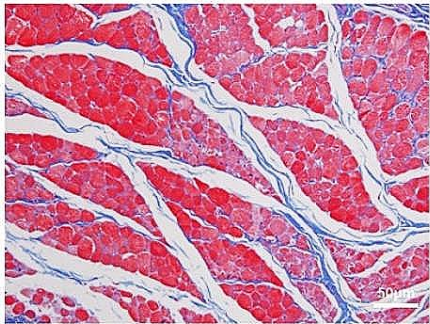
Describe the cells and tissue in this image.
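Transverse section of skeletal muscle showing red-staining muscle fibres cut in cross-section, mostly small and varying in size and staining intensity. The fibres are grouped into fascicles separated by wide pale clefts, and blue-staining connective tissue strands run along the fascicle borders and between fibres.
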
